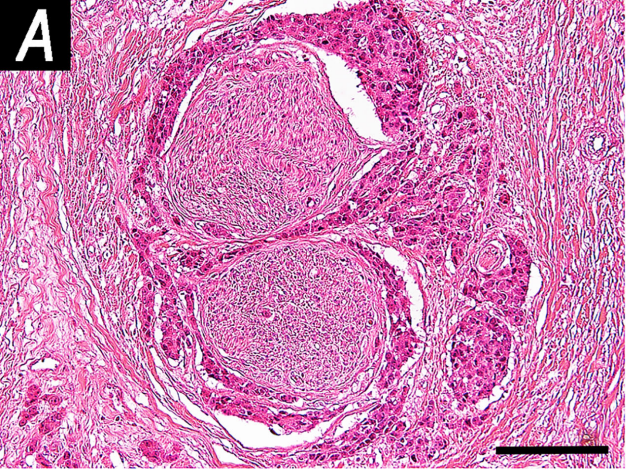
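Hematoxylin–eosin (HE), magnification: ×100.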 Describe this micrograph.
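This section shows tumor spreading around nerves, with two round cross-cut nerve bundles at the center. Cords and small nests of tumor cells with dark purple nuclei hug the outer rims of both bundles. Loose, pale pink fibrous stroma surrounds the whole group.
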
